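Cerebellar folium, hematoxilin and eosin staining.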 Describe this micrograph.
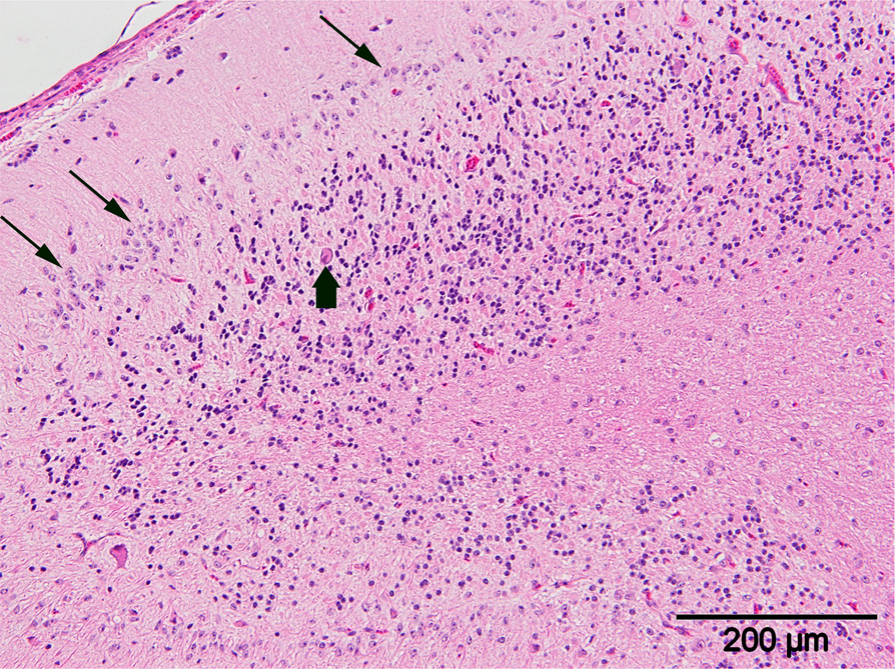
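Beneath a thin pink surface membrane lies a wide, pale pink, cell-poor molecular layer. Below it is a granular layer of small, dark, round nuclei, which looks patchy and loosely packed over the pale fibrous core. Along the boundary between these layers there are hardly any large Purkinje cell bodies; instead a band of small pale-nucleated glial cells lines the boundary, and a single large neuron with pink cytoplasm sits out of place within the granular layer.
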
